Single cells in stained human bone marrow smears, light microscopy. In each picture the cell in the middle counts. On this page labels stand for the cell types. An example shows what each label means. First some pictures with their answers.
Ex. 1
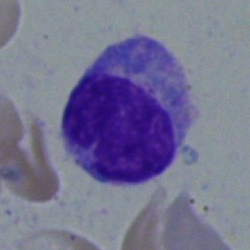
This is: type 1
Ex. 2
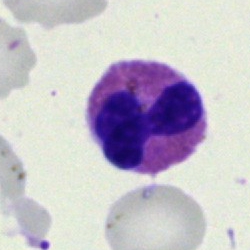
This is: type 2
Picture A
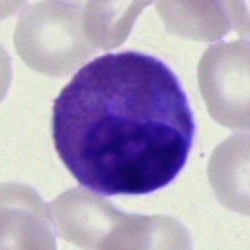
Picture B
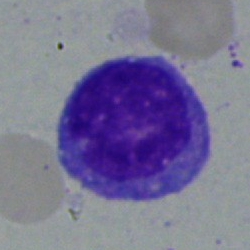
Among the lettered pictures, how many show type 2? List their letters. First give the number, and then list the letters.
Count: 1 (A)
